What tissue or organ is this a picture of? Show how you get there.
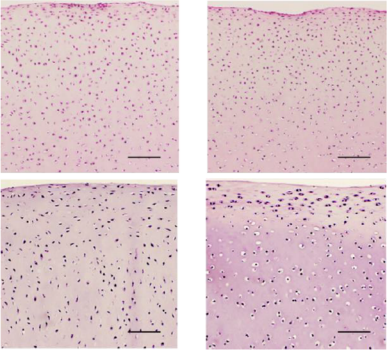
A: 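Scattered small cells sit in a pale, homogeneous pink-purple matrix without vessels. Cells lie singly in small spaces within the matrix. Cells along one edge are flattened and densely packed.
Hence: cartilage.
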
